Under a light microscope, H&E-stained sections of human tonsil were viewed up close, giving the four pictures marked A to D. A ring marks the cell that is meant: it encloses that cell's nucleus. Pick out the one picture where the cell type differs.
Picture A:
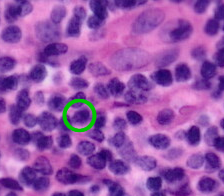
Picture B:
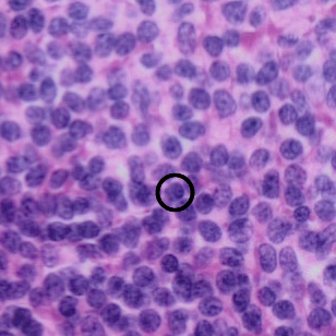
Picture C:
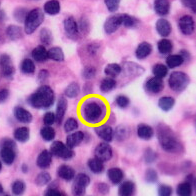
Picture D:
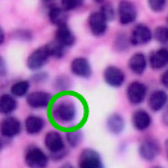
C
